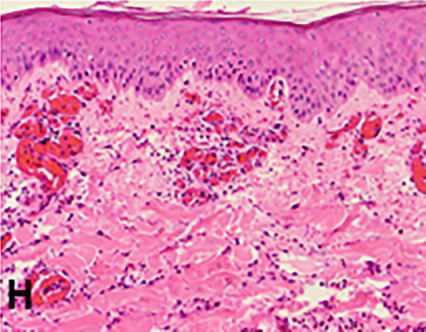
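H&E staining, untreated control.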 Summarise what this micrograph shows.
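This is skin, with a layer of epidermis across the top and pale pink dermis below. Several small vessels in the upper and mid dermis are distended and filled solid with bright red packed material, with scattered small dark nuclei around them in the loose dermis. The epidermis is fairly thin with shallow undulations, and its upper layers look pale.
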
